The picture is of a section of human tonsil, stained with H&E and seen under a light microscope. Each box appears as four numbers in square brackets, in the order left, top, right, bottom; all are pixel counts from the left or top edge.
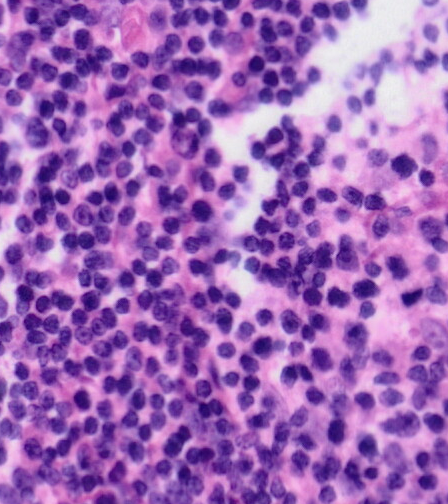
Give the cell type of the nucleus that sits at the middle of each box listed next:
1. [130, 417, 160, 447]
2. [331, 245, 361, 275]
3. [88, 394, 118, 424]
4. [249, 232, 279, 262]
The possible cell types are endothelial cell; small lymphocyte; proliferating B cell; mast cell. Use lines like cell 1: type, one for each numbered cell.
cell 1: small lymphocyte
cell 2: proliferating B cell
cell 3: small lymphocyte
cell 4: small lymphocyte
